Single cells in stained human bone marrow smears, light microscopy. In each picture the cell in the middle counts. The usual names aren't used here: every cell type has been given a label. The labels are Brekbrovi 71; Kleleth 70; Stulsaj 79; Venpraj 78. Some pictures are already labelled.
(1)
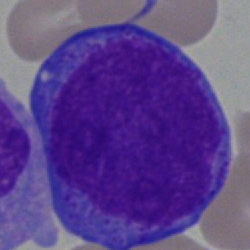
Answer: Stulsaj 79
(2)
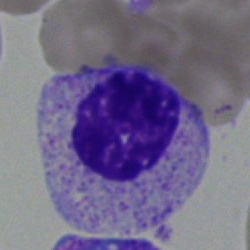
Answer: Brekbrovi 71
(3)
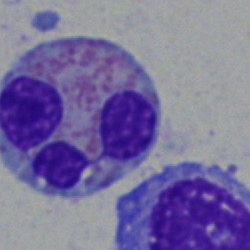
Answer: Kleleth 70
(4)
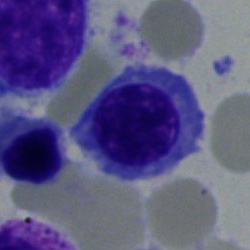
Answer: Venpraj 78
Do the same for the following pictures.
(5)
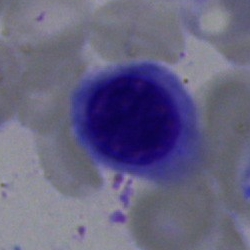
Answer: Venpraj 78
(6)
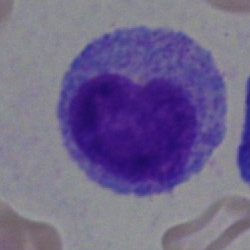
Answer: Brekbrovi 71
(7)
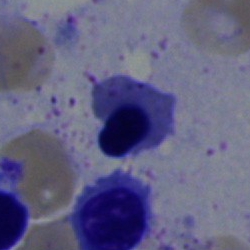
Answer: Venpraj 78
